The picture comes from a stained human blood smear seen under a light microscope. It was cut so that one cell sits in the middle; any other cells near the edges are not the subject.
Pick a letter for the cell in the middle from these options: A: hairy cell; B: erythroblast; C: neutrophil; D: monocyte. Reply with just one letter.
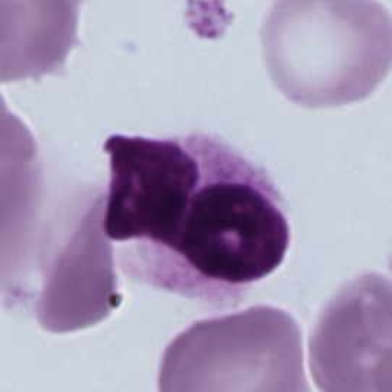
C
